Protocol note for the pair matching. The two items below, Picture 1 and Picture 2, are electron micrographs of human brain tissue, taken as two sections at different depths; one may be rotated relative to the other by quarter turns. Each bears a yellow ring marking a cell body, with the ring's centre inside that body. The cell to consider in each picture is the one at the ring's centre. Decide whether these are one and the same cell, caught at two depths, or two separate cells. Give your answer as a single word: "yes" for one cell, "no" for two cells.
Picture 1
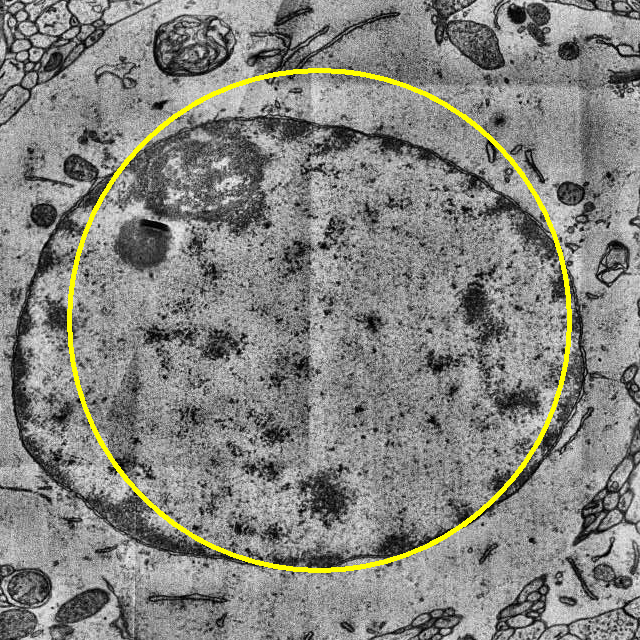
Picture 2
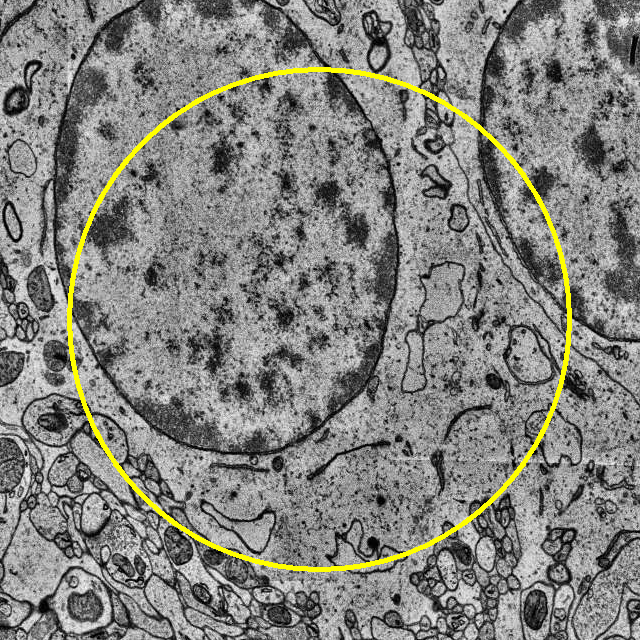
no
